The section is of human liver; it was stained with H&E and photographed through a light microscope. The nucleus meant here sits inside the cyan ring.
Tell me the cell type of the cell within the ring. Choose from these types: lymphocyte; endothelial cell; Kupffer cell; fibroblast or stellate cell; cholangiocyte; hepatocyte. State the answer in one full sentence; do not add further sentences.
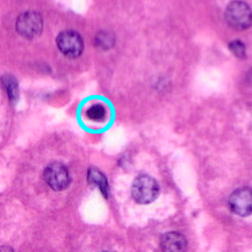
The expected answer is simply that the cell within the ring is a lymphocyte.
